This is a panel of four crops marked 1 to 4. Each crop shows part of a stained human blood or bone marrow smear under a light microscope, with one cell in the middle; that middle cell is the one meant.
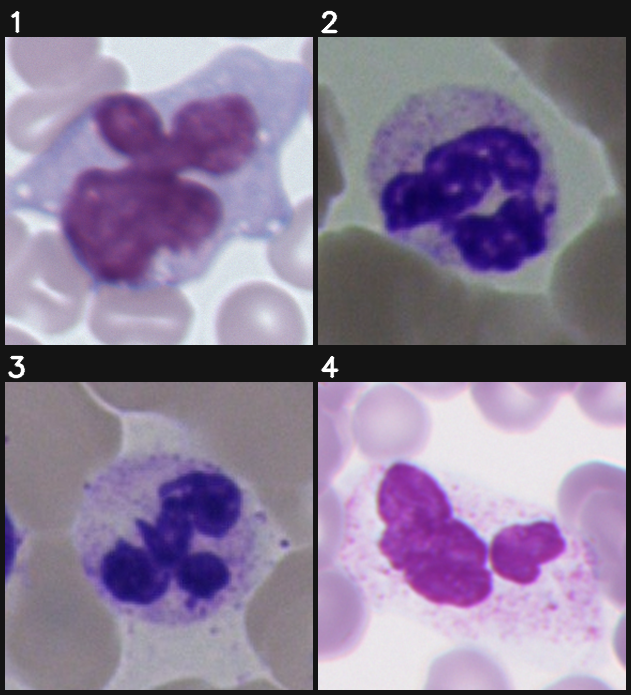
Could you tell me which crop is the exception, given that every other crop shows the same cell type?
1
